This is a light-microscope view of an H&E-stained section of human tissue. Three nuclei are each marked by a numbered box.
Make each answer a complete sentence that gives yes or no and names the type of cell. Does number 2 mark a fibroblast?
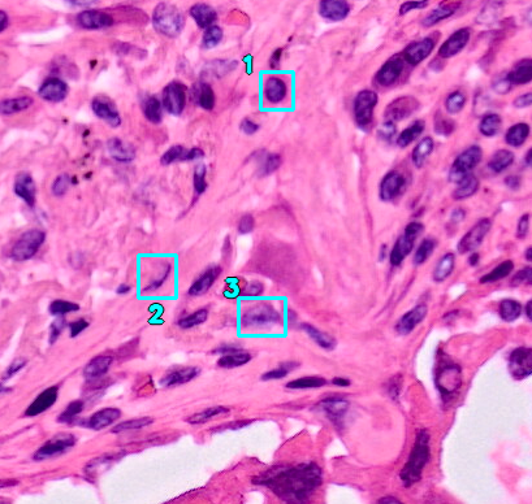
Yes, the cell at number 2 is a fibroblast.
